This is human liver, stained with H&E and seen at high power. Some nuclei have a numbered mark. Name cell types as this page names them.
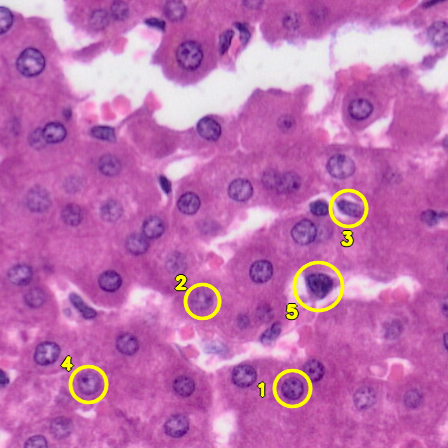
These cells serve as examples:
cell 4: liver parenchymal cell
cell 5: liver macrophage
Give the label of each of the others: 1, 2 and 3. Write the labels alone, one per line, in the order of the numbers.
liver parenchymal cell
liver parenchymal cell
liver macrophage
